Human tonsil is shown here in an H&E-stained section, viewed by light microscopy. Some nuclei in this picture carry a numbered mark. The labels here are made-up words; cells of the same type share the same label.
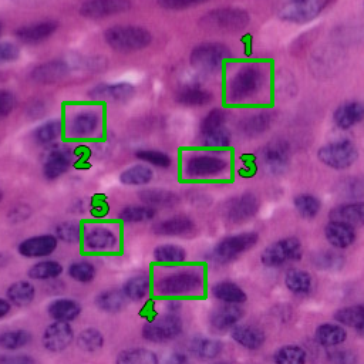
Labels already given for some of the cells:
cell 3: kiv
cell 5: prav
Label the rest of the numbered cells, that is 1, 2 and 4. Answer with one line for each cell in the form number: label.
1: kiv
2: prav
4: kiv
